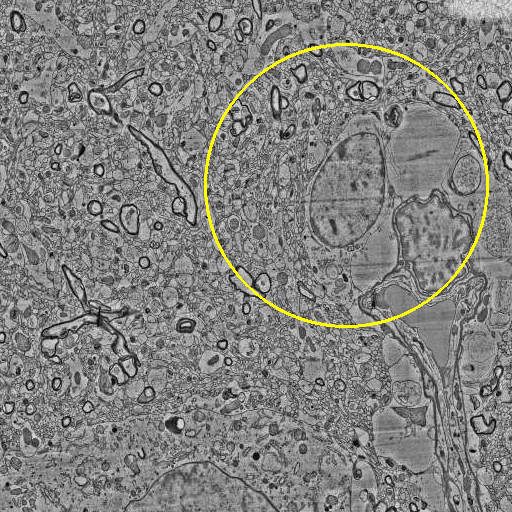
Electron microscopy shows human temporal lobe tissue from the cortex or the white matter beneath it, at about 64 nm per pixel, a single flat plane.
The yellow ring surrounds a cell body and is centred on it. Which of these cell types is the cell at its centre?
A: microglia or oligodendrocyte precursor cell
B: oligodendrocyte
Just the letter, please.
A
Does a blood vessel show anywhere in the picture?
Yes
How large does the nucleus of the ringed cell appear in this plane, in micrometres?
In this plane, approximately 8 by 5 micrometers, and clearly longer than it is wide.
